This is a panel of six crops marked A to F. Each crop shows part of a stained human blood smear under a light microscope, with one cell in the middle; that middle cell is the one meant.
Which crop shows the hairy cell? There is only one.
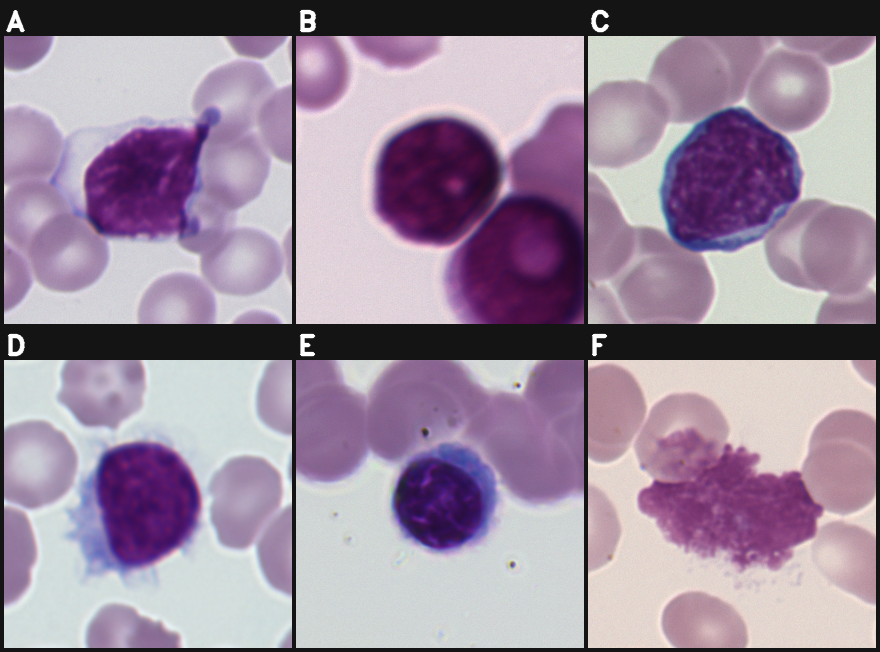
D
